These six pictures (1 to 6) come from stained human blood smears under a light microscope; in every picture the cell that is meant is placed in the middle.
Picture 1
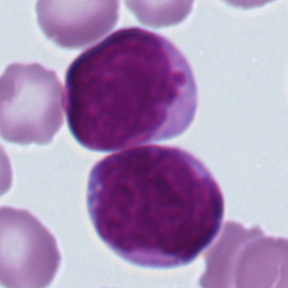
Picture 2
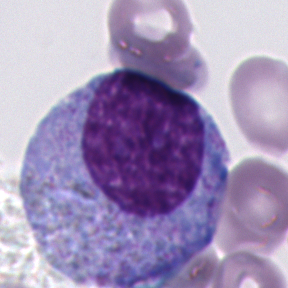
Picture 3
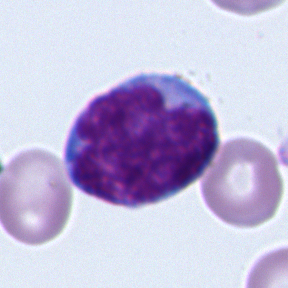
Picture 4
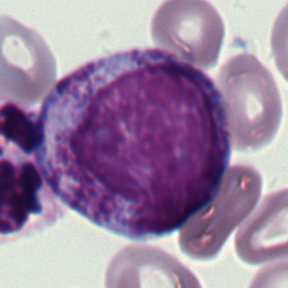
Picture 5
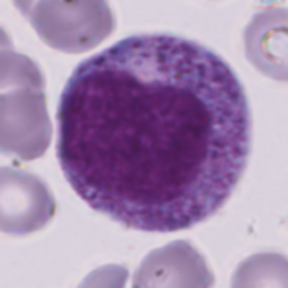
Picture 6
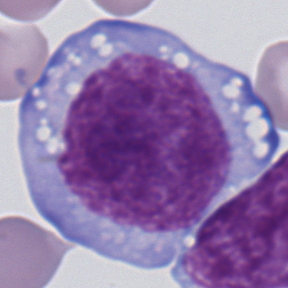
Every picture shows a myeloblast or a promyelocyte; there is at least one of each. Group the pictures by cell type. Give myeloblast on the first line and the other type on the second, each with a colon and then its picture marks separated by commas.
myeloblast: 1, 3, 6
promyelocyte: 2, 4, 5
